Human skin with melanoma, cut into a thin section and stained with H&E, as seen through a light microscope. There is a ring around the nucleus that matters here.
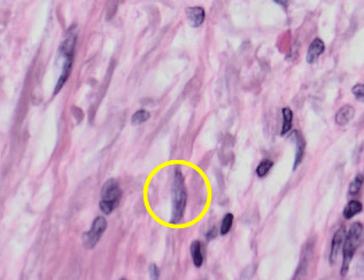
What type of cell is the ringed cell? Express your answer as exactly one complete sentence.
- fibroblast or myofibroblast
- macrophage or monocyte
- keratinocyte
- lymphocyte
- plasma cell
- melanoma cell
Placed in its cell category, the ringed cell is a fibroblast or myofibroblast.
